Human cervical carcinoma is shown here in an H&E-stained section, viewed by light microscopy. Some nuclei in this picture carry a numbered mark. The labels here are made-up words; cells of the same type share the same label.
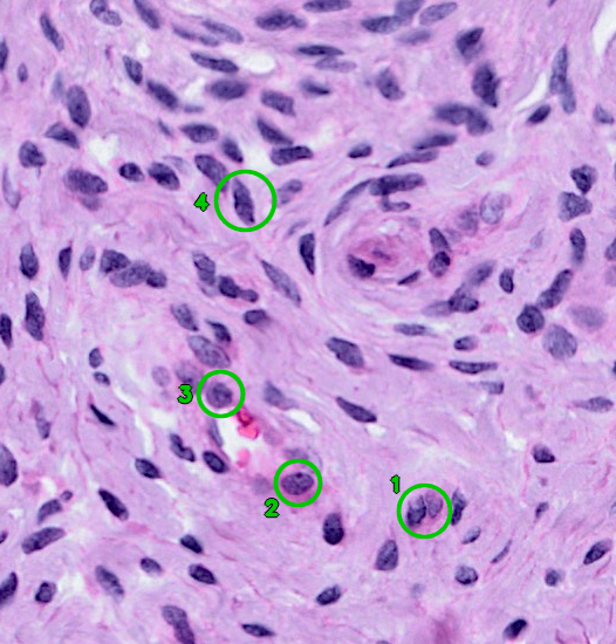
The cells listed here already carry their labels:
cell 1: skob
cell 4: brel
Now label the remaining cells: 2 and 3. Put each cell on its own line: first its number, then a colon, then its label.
2: skob
3: skob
